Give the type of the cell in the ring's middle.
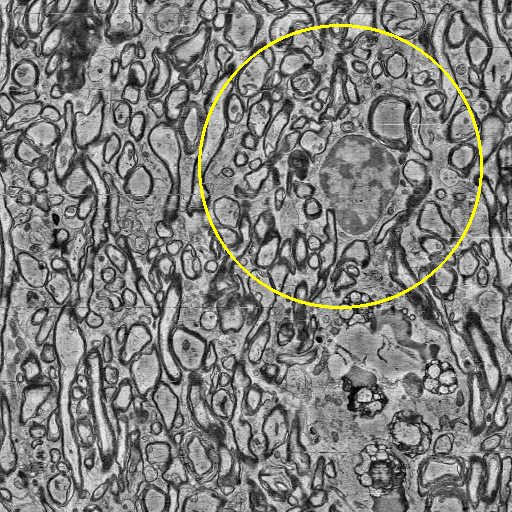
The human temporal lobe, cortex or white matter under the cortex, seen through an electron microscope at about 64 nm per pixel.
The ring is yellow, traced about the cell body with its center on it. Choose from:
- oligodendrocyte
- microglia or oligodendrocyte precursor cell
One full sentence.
Here, a microglial cell or oligodendrocyte precursor cell is the cell lying at the center of the yellow ring.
